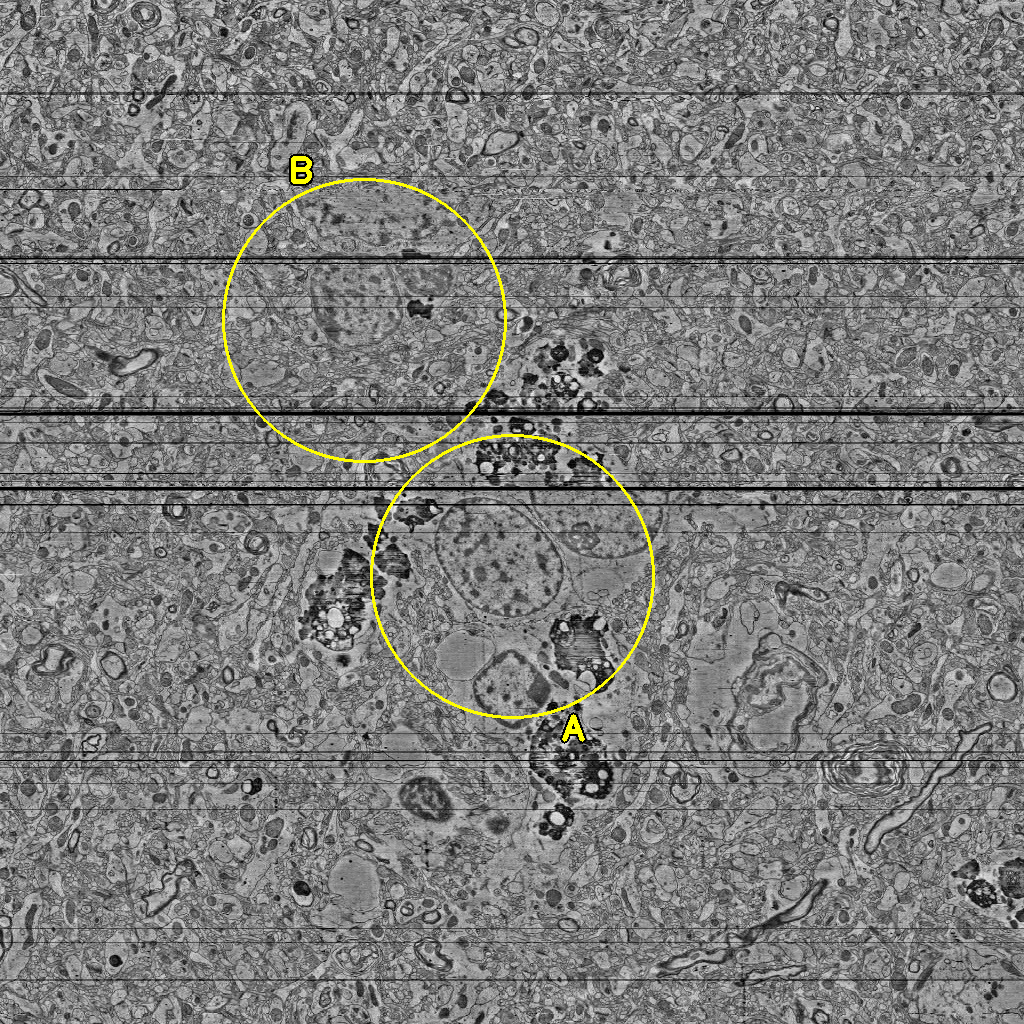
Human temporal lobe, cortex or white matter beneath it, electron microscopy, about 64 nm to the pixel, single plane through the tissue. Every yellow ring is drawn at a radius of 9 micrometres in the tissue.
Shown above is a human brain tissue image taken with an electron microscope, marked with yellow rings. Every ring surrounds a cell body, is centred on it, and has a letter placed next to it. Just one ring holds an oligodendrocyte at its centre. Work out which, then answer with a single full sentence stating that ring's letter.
Ring B is the one whose centre holds a cell of that kind.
